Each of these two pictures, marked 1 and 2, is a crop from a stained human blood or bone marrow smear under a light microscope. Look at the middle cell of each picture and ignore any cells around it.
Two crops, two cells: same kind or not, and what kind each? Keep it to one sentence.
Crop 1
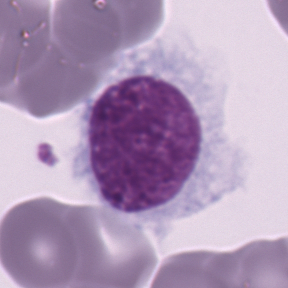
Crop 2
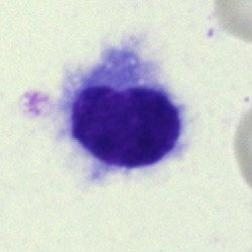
Yes, both crops here show hairy cells, the pair of them.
